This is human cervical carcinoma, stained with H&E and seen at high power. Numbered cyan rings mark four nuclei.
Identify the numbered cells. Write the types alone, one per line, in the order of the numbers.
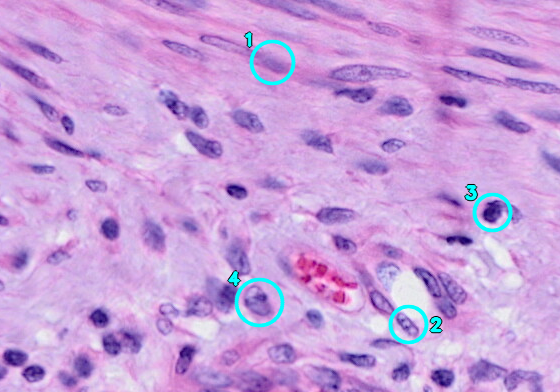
smooth muscle cell
endothelial cell
lymphocyte
macrophage or monocyte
